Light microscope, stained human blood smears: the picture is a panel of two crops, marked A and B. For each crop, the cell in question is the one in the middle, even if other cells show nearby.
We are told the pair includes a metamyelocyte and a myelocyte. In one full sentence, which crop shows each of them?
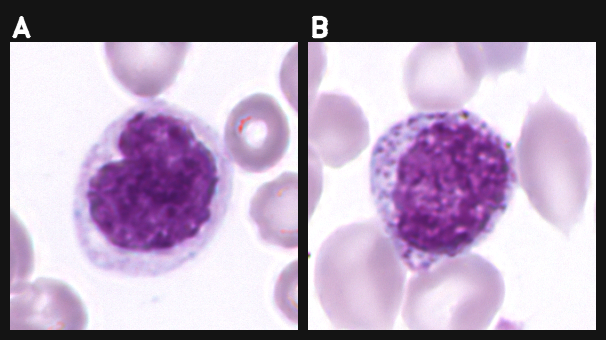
Crop A shows a metamyelocyte, whereas crop B shows a myelocyte.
